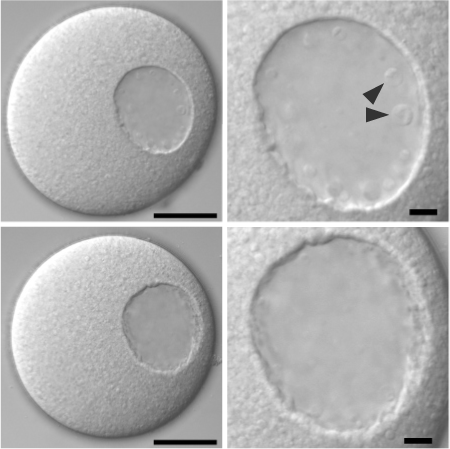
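The cytoplasm fills most of the cell and has an even, finely granular texture. In the magnified view of the upper oocyte, small round bodies, the nucleoli, can be picked out inside the nucleus near its margin. In the lower oocyte's magnified nucleus no such bodies are seen, and the interior looks uniform.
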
